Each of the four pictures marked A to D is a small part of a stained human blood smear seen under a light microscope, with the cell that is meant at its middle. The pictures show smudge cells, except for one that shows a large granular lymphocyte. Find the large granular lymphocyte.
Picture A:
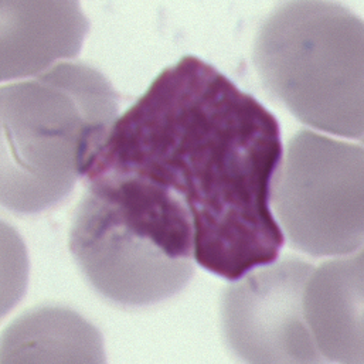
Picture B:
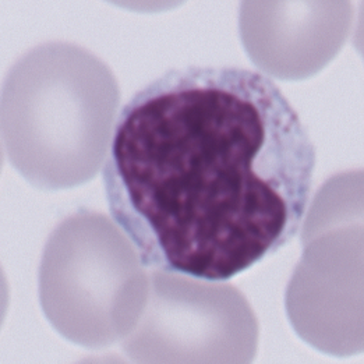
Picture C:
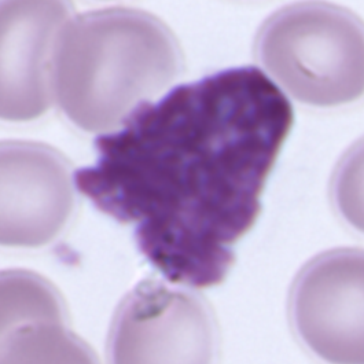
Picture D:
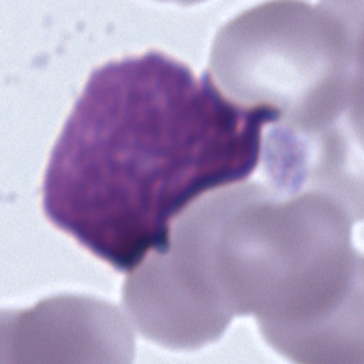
B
